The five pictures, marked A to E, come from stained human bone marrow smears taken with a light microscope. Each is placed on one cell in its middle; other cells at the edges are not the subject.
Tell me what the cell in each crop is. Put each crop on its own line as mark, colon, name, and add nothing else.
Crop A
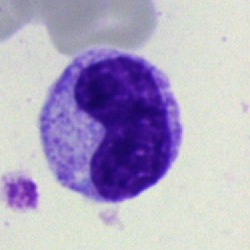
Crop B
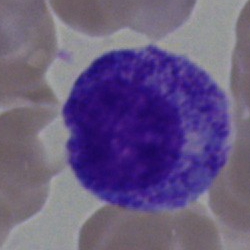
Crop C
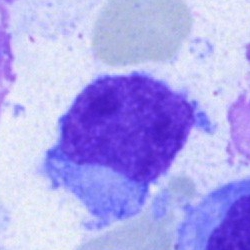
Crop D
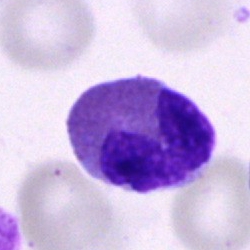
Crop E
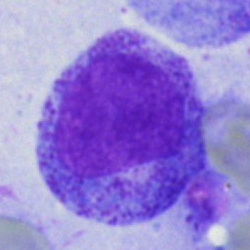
A: metamyelocyte
B: promyelocyte
C: hairy cell
D: eosinophil
E: promyelocyte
